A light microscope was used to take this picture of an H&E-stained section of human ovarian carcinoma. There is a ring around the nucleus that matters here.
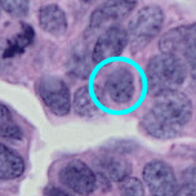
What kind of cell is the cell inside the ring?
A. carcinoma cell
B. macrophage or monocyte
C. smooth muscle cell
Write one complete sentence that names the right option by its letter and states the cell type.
Option A is right, and the cell inside the ring is a carcinoma cell.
